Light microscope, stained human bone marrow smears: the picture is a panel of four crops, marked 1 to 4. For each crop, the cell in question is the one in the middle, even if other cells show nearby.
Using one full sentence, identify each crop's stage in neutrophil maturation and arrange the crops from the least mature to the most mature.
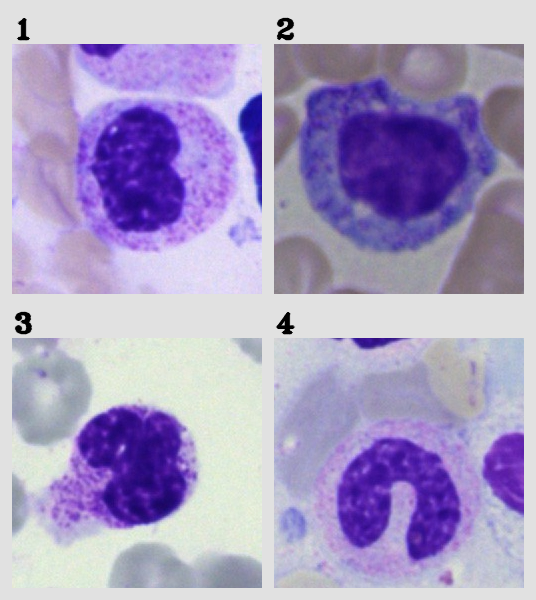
Counting from the least mature up to the most mature, the order is crop 2 (a myelocyte), crop 1 (a metamyelocyte), crop 4 (a band neutrophil) and crop 3 (a segmented neutrophil).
